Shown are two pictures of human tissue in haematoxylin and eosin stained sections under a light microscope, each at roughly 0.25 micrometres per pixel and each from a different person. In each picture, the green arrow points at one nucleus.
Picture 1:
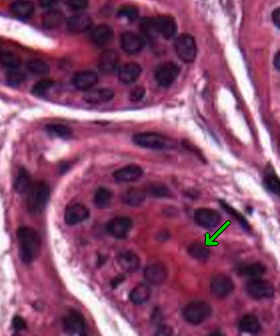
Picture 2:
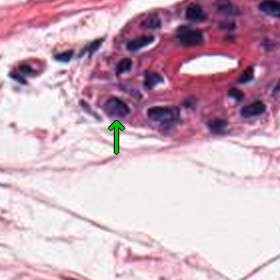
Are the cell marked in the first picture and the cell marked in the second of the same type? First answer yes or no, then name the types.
Yes, both are sweat gland cells.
